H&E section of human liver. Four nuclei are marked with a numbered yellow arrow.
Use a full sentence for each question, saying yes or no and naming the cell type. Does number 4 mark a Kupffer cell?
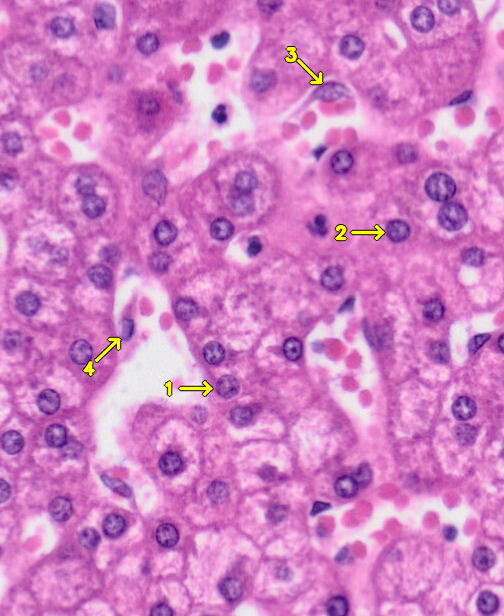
Yes, kindly take note: the cell numbered 4 is a Kupffer cell.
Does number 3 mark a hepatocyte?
No, cell 3 is a Kupffer cell, not a hepatocyte.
